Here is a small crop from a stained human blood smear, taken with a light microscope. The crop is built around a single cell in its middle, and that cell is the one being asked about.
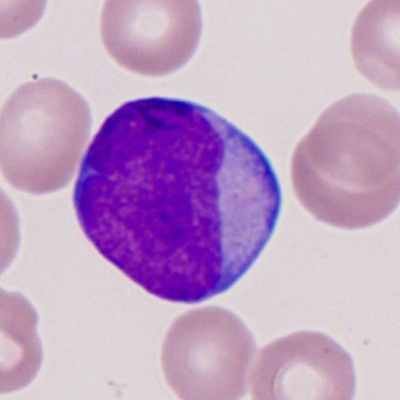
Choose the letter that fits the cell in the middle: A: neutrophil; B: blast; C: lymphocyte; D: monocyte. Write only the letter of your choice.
B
